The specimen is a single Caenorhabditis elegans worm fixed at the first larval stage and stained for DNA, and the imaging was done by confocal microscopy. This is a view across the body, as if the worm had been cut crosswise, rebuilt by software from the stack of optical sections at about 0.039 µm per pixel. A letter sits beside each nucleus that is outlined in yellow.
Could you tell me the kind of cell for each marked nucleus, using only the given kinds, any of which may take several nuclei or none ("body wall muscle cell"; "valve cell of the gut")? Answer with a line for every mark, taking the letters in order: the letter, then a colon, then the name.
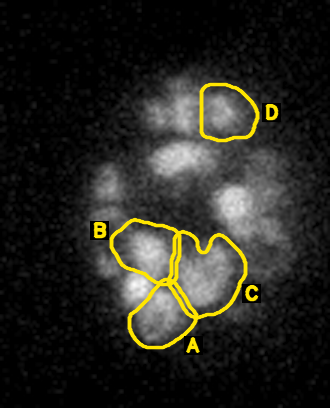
A: body wall muscle cell
B: valve cell of the gut
C: valve cell of the gut
D: body wall muscle cell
